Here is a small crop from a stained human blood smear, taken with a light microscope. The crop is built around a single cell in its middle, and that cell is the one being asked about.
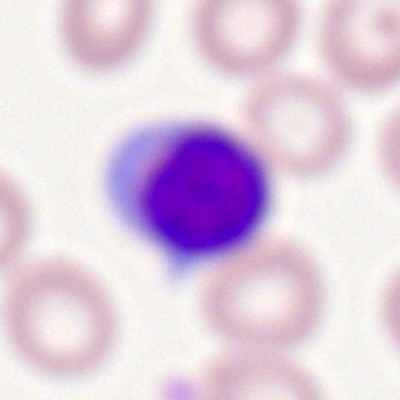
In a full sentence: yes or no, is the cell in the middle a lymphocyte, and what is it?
Yes, the cell in the middle of this smear crop is a lymphocyte.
